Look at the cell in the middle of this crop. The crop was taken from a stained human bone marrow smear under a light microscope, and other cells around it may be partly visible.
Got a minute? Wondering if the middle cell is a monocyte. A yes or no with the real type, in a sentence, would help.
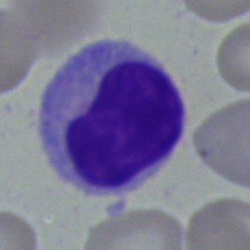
Yes, the cell in the middle has the identity of a monocyte.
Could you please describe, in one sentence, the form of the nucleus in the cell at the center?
The nucleus amounts to one compact mass with a round, oval or kidney-shaped outline.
